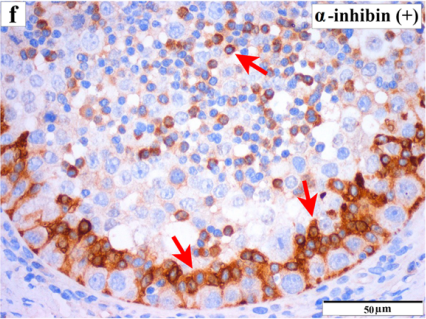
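This is a nest of a gonadoblastoma in which the sex cord-stromal cells are stained brown and the germ cells are not. The brown cells crowd in a dense band along the edge of the nest, against the surrounding stroma, and some are scattered singly through its interior. The germ cells in the centre are larger, with pale unstained cytoplasm and round blue nuclei. Around the nest lies stroma with elongated blue nuclei and no brown staining. Small clear spaces are seen within the nest.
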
